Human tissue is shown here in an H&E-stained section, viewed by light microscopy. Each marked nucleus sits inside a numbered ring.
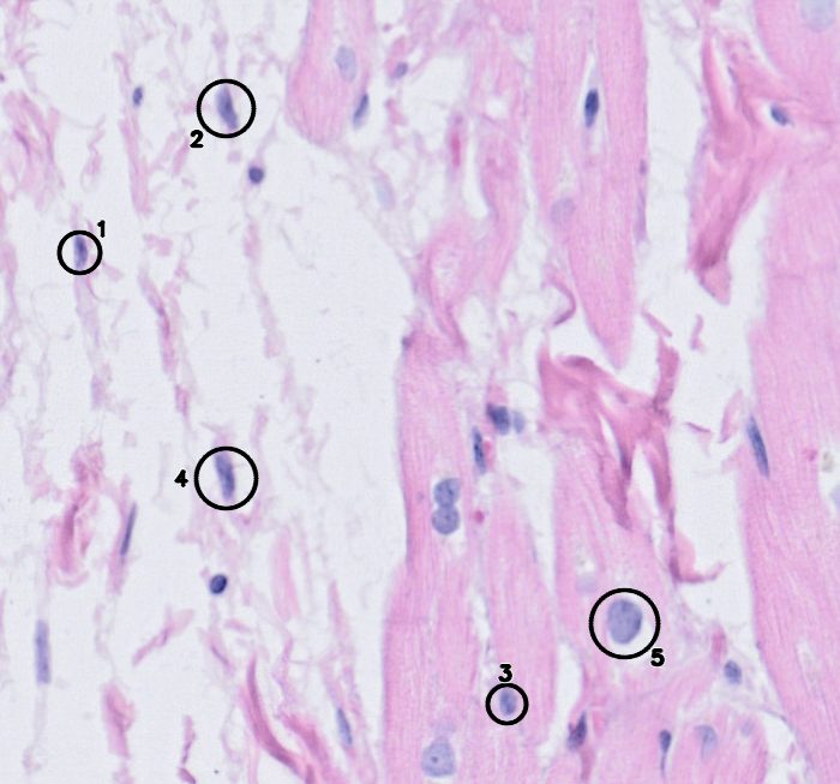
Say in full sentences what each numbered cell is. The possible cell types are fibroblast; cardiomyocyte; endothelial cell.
Cell 1 is a fibroblast, cell 2 is a fibroblast, cell 3 is an endothelial cell, cell 4 is a fibroblast and cell 5 is a cardiomyocyte.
